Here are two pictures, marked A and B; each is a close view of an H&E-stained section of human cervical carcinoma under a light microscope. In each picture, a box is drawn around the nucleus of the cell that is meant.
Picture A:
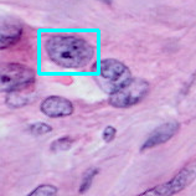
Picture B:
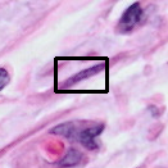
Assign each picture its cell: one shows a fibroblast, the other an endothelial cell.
A: endothelial cell
B: fibroblast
